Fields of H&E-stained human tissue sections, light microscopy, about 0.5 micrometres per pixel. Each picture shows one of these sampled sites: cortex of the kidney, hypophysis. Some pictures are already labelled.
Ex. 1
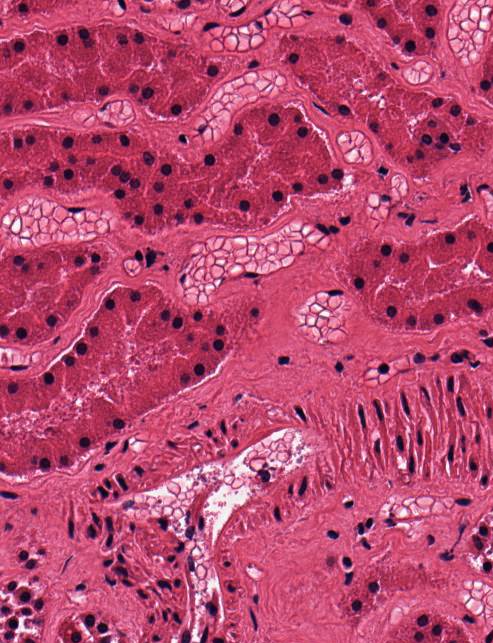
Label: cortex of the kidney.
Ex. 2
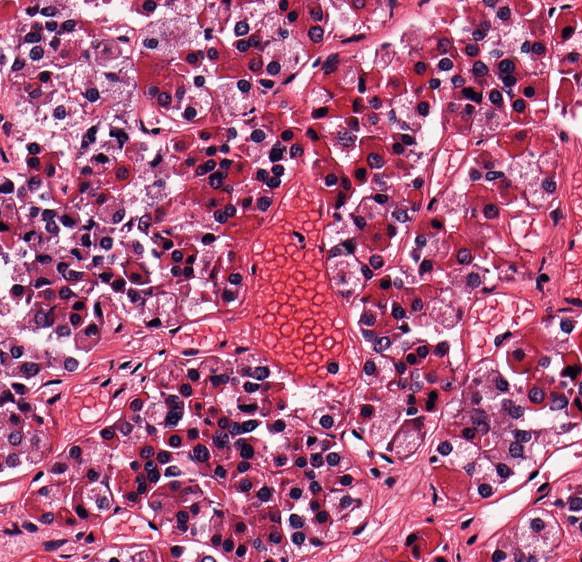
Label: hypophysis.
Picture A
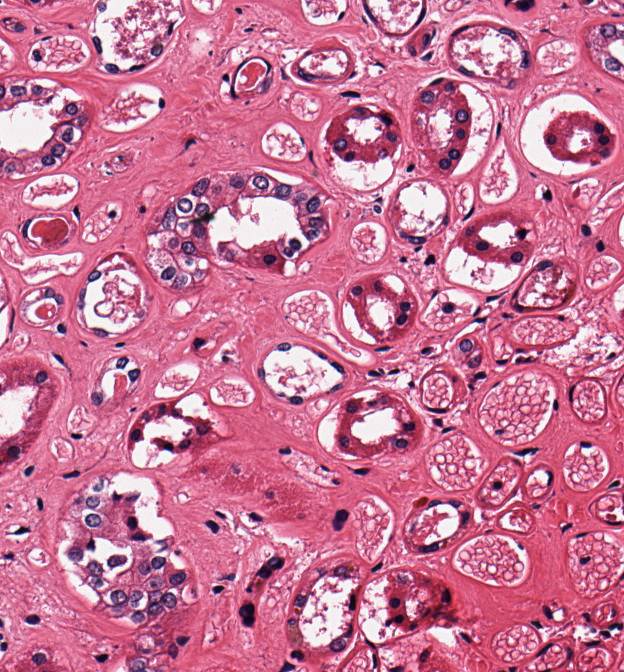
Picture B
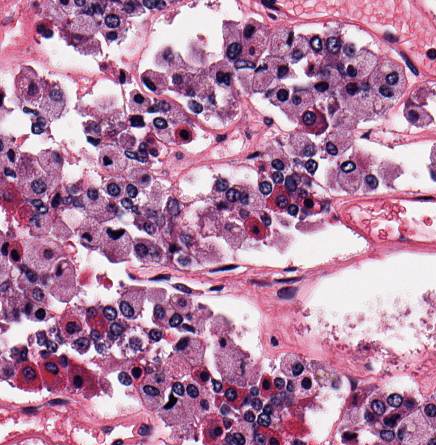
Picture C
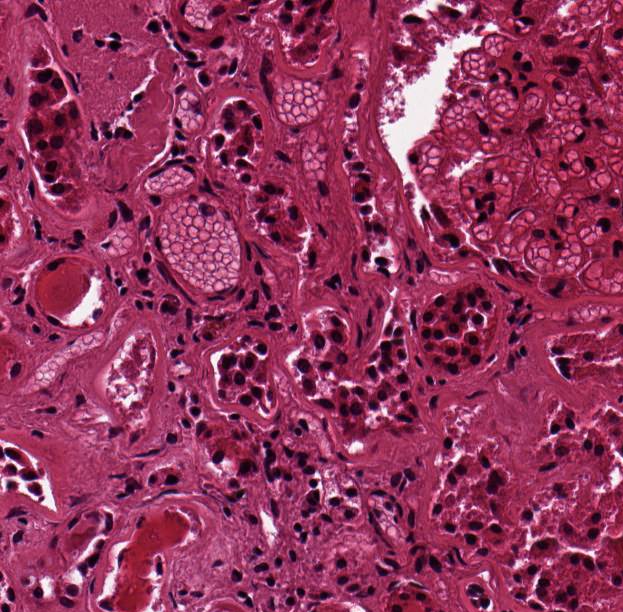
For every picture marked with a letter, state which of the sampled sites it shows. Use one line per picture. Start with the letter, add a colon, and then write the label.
A: cortex of the kidney.
B: hypophysis.
C: cortex of the kidney.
